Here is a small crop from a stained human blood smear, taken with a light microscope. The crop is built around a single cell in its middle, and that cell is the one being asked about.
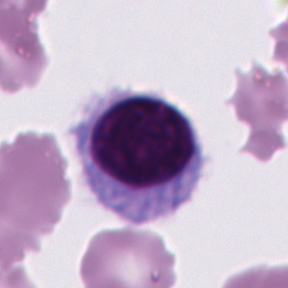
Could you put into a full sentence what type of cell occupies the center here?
The centrally placed cell is classified as a hairy cell.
